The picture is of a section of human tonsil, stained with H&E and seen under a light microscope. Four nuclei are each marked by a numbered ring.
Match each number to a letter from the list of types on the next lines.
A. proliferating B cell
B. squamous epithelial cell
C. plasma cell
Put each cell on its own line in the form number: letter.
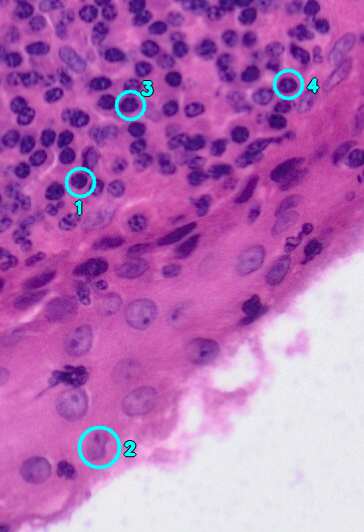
1: C
2: B
3: C
4: C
